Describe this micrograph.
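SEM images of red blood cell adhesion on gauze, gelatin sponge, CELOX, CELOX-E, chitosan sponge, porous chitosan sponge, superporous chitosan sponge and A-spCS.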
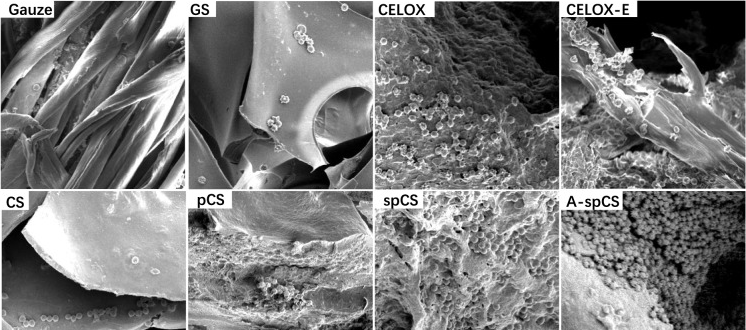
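The materials vary: smooth parallel fibres, smooth sheets with round pores, and rough or folded sheets. On the smooth fibres and sheets only a few scattered discs are seen. On the rougher surfaces many discs lie side by side. In one image the discs are so numerous that they cover the surface in closely packed layers. The textured surfaces hold the most cells.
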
